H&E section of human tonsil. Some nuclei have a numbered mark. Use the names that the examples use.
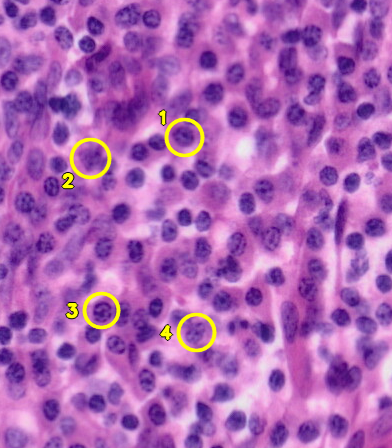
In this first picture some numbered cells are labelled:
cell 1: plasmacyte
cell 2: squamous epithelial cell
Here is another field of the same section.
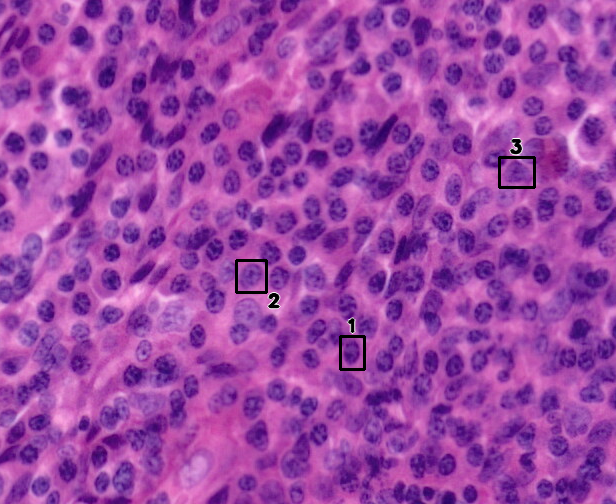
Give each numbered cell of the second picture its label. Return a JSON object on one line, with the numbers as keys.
{"1": "plasmacyte", "2": "plasmacyte", "3": "squamous epithelial cell"}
